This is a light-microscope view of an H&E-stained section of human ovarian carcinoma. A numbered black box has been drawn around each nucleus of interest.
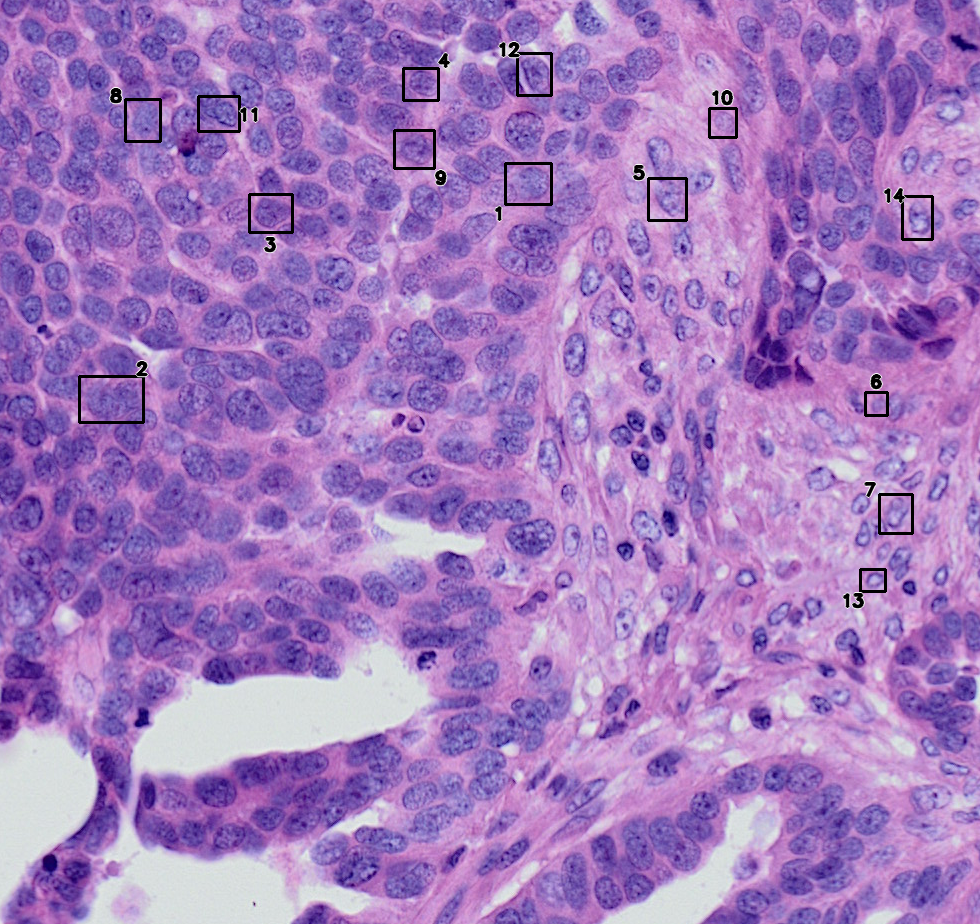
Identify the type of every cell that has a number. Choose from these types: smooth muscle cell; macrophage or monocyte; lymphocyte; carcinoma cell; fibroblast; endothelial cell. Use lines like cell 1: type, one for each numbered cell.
cell 1: carcinoma cell
cell 2: carcinoma cell
cell 3: carcinoma cell
cell 4: carcinoma cell
cell 5: fibroblast
cell 6: fibroblast
cell 7: fibroblast
cell 8: carcinoma cell
cell 9: carcinoma cell
cell 10: fibroblast
cell 11: carcinoma cell
cell 12: carcinoma cell
cell 13: fibroblast
cell 14: fibroblast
